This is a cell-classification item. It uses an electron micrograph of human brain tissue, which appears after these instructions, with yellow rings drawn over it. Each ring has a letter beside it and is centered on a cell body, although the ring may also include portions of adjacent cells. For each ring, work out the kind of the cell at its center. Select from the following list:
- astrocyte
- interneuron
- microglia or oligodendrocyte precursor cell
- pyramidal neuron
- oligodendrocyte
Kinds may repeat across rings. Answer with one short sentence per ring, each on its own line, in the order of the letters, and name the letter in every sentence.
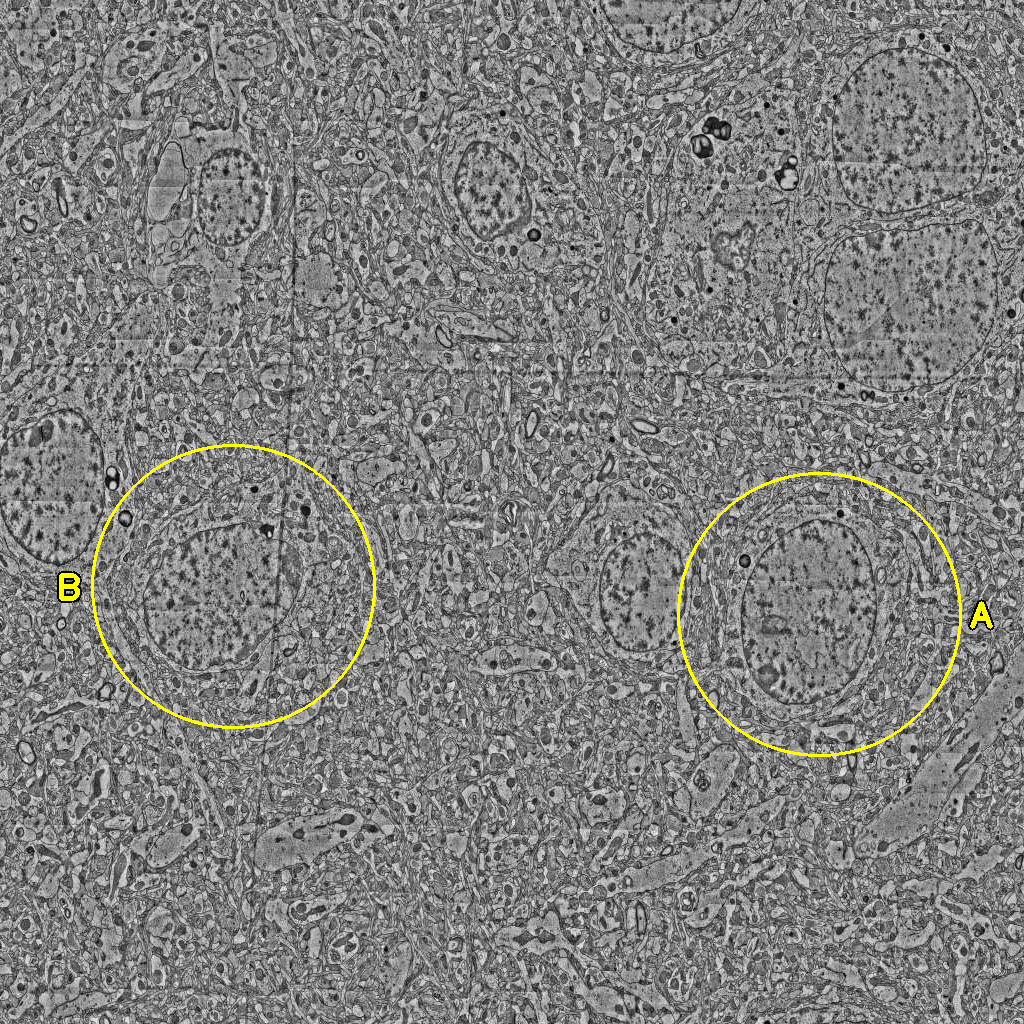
Ring A has a pyramidal neuron at its center.
Ring B has an interneuron at its center.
